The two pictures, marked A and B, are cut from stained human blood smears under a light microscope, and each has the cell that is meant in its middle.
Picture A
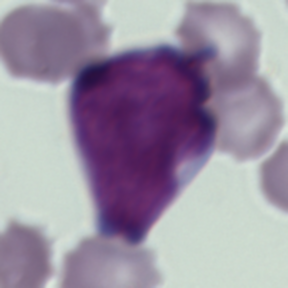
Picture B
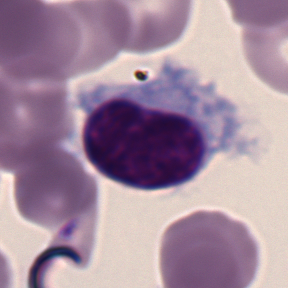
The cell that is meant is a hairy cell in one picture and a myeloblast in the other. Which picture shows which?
A: myeloblast
B: hairy cell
